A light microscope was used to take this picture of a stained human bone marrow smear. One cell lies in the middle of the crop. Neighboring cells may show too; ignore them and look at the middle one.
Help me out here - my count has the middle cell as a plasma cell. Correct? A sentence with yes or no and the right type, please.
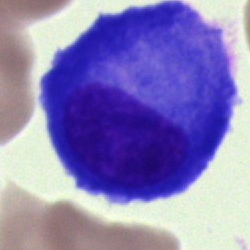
Yes, in the centre of this field sits a plasma cell.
